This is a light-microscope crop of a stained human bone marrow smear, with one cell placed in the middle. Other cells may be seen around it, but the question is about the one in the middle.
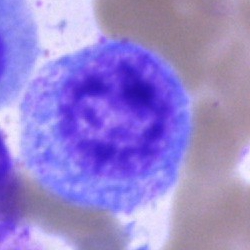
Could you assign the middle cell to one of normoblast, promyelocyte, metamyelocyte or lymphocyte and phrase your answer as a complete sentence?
What sits at the centre of this crop is a promyelocyte.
